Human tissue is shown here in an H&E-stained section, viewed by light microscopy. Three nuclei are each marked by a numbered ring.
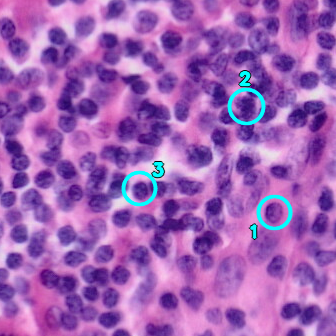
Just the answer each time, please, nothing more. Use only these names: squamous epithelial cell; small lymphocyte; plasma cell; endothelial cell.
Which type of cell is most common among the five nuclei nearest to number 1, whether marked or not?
endothelial cell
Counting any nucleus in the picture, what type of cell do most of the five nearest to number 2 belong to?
small lymphocyte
